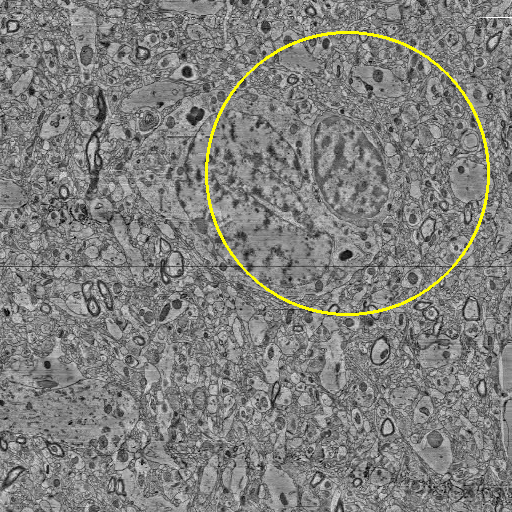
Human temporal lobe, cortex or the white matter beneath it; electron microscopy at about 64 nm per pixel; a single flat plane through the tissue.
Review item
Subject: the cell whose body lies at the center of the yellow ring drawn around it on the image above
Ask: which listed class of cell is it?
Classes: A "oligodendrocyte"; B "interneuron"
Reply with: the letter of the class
A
